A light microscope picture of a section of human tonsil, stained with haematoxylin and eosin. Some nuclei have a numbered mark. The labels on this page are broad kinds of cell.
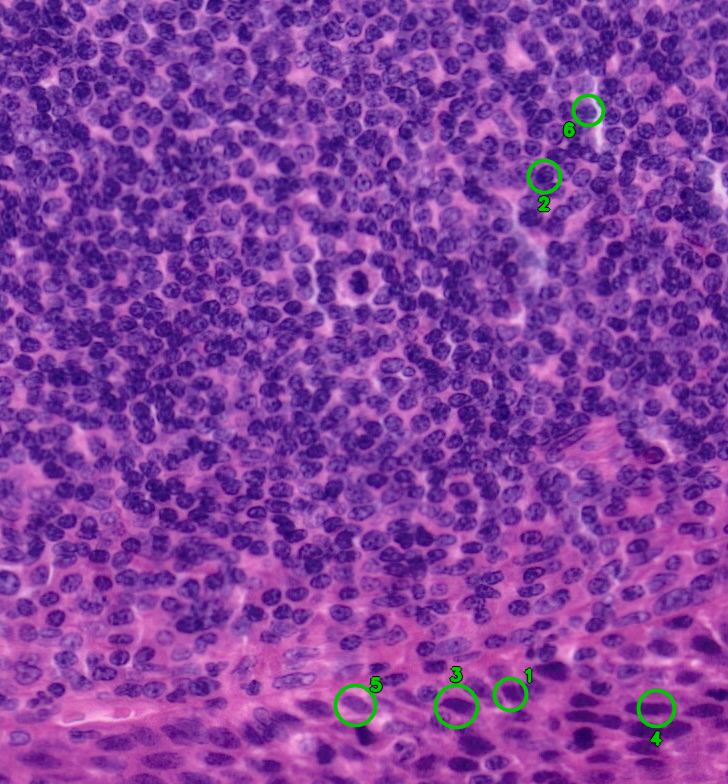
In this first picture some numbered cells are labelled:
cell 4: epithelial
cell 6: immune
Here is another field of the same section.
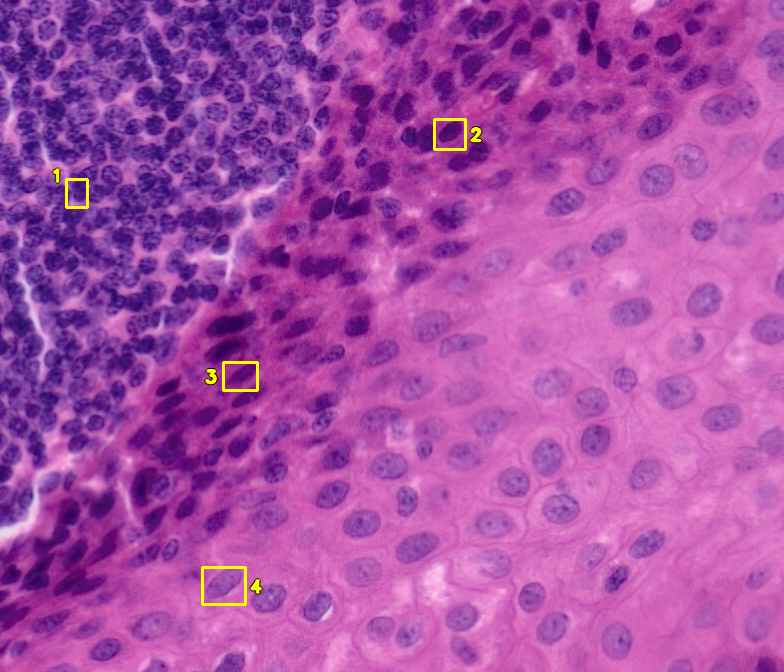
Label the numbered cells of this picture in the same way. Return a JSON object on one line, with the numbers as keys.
{"1": "immune", "2": "epithelial", "3": "epithelial", "4": "epithelial"}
